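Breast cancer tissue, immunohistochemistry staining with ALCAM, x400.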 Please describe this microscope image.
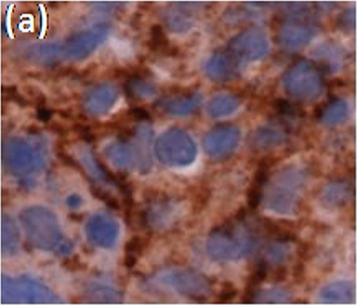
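The stain is coarse and granular, forming clumps and streaks between the nuclei rather than crisp outlines around cells. Nuclei are round to oval, blue, with visible chromatin and variable size. Cell borders are poorly defined in the dense brown deposit.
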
